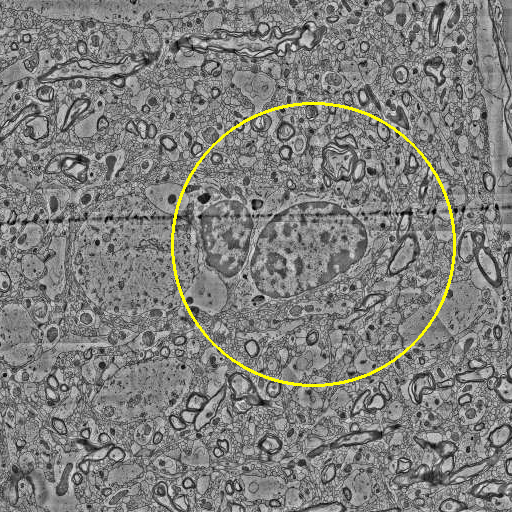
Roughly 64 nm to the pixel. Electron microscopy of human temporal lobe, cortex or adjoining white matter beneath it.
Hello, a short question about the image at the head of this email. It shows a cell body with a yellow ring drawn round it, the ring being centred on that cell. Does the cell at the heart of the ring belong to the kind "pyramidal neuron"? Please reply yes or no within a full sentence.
No, the cell at the heart of the ring in that image is of a different kind.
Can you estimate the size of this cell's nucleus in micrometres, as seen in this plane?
Approximately 8 by 6 micrometers in this plane.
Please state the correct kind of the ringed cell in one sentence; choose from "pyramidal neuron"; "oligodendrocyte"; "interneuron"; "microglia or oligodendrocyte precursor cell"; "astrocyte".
The cell enclosed by the ring is a microglial cell or oligodendrocyte precursor cell.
